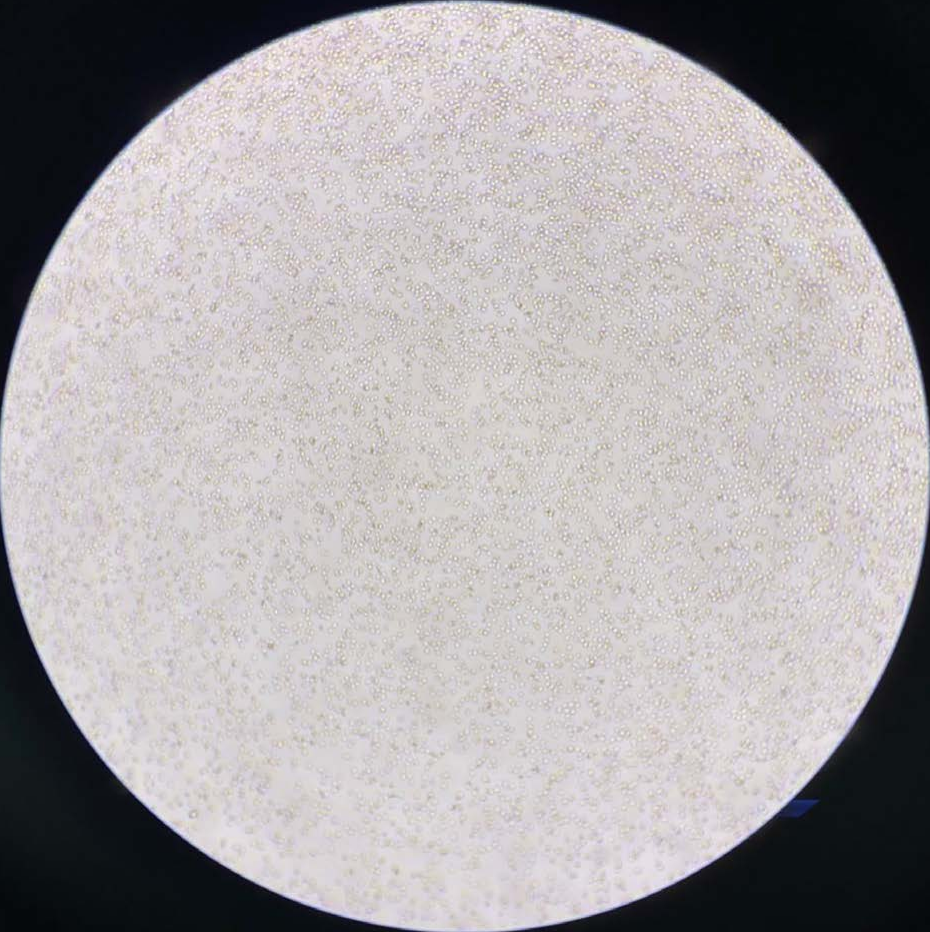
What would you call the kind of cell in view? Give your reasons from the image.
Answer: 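Red blood cell. Countless small, round, uniform cells fill the field. The cells lie singly and are spread fairly evenly, without large clumps. The cells are pale, with a faint yellowish tint and no stain.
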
